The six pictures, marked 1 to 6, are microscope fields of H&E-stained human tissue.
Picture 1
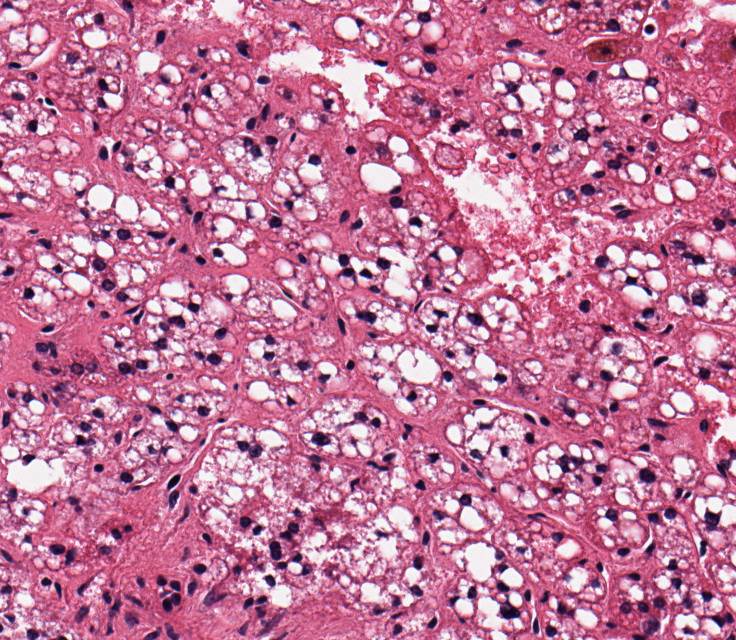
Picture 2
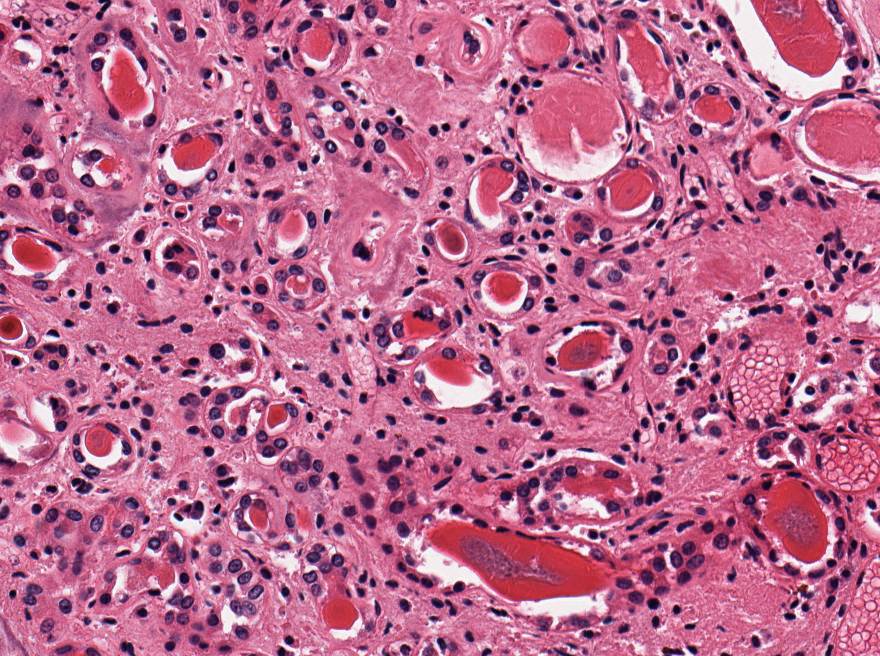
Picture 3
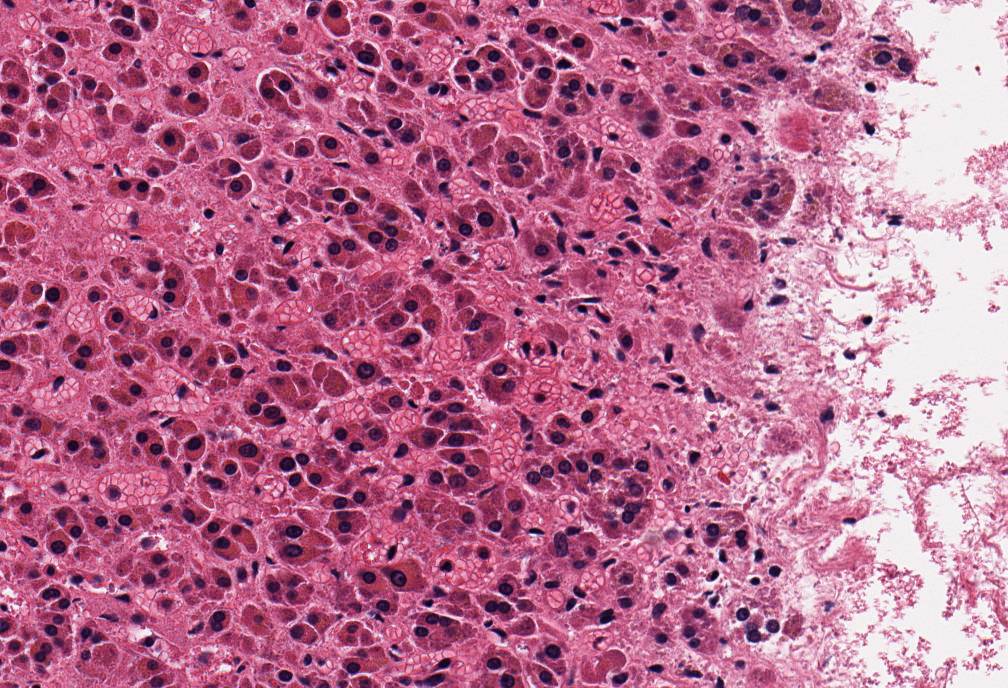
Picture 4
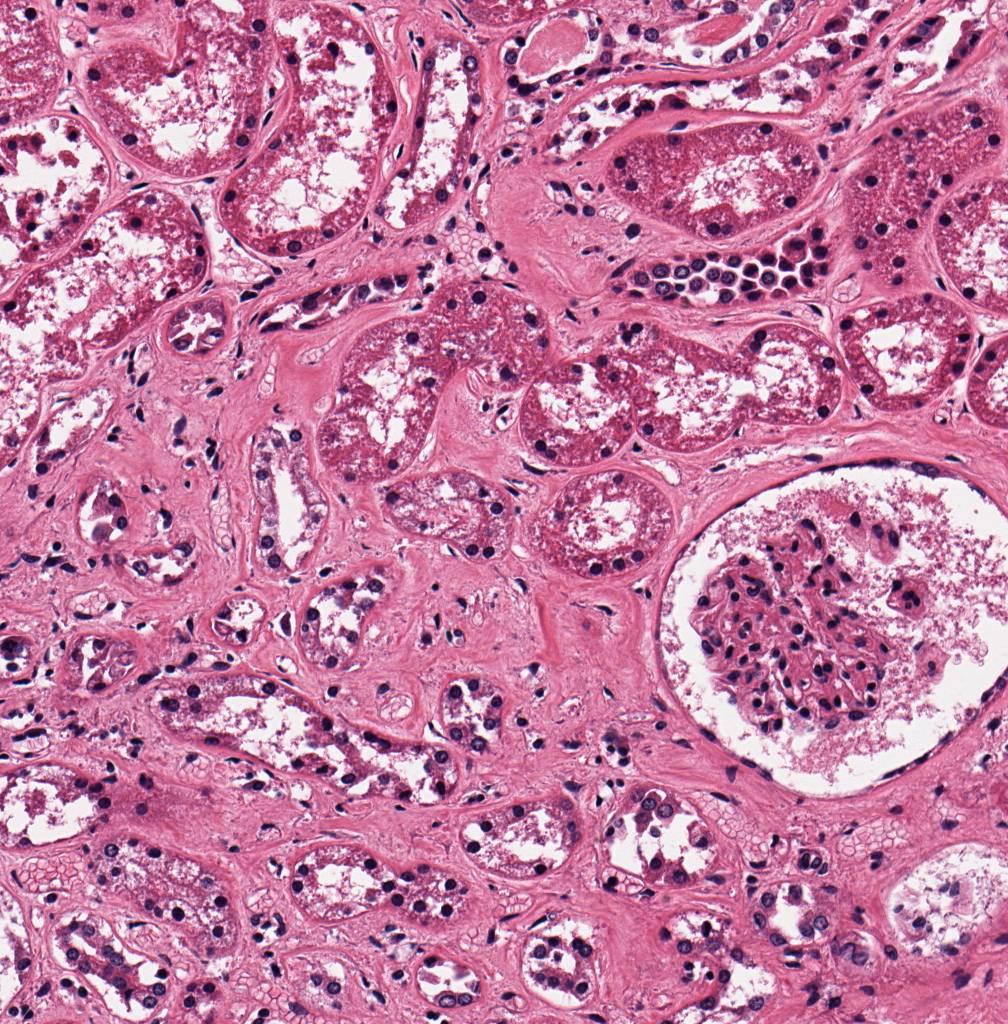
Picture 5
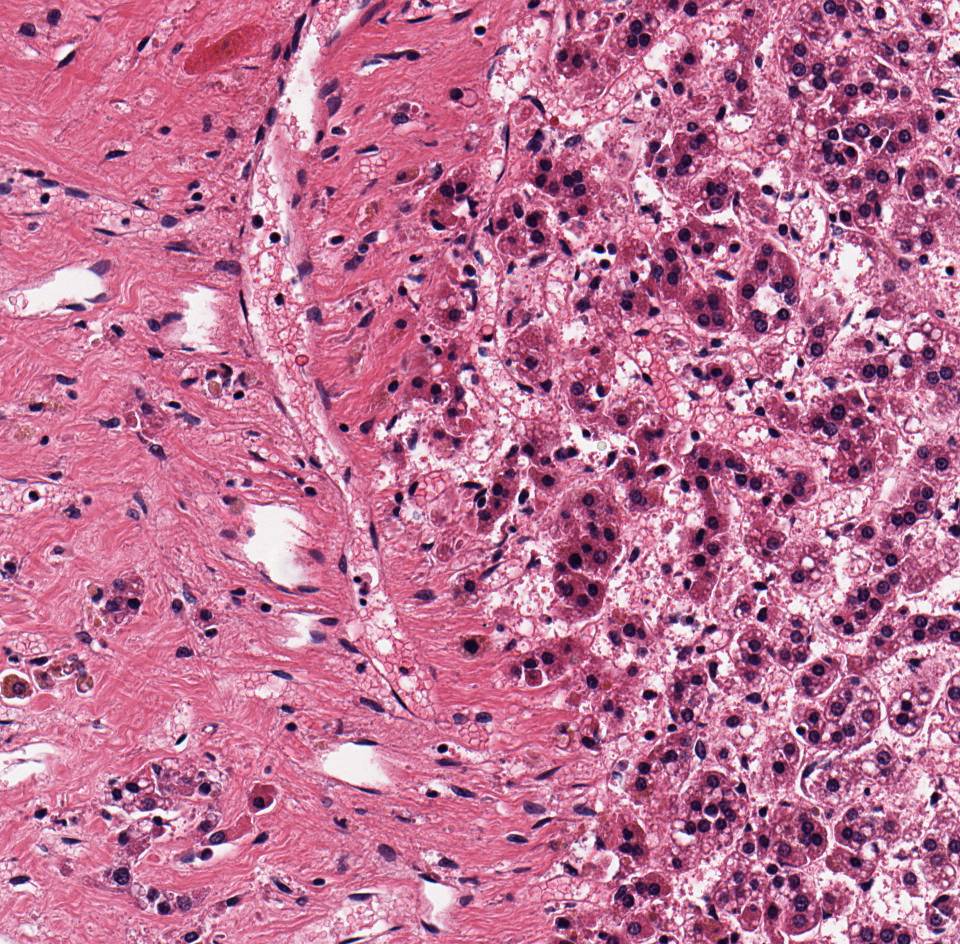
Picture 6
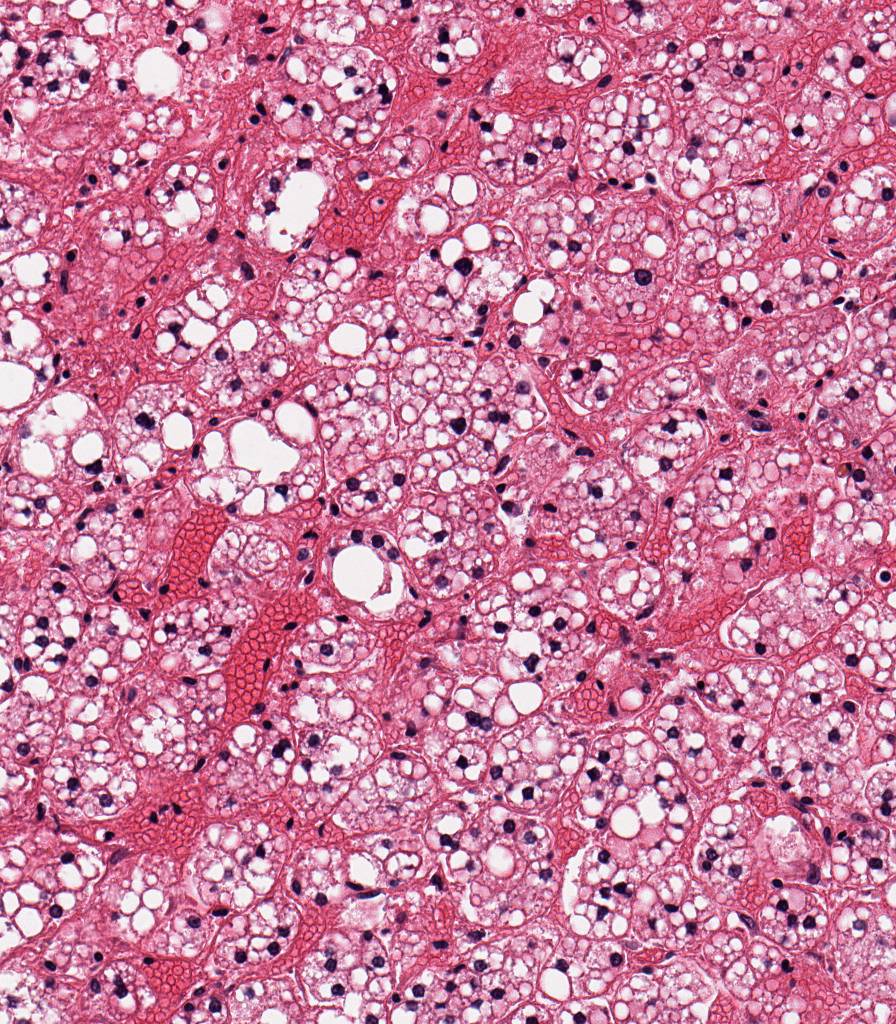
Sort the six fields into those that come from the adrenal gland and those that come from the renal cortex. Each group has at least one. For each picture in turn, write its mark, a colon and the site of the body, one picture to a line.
1: adrenal gland
2: renal cortex
3: adrenal gland
4: renal cortex
5: adrenal gland
6: adrenal gland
